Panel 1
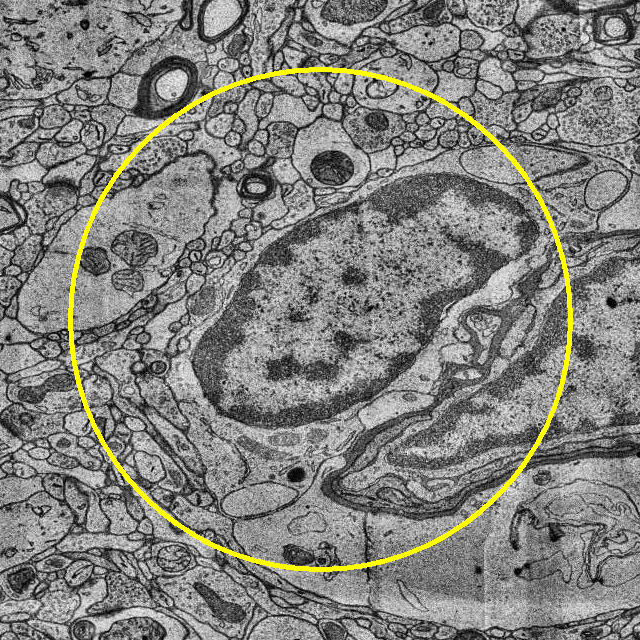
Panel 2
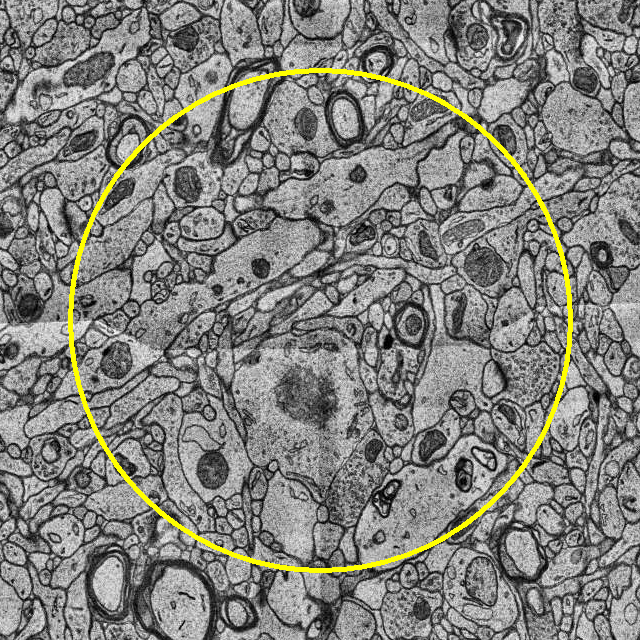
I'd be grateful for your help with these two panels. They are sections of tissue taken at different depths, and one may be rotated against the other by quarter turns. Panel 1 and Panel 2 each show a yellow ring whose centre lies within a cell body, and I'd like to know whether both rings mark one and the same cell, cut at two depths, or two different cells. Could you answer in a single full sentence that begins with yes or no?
No, each ring in the micrograph marks a distinct cell.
